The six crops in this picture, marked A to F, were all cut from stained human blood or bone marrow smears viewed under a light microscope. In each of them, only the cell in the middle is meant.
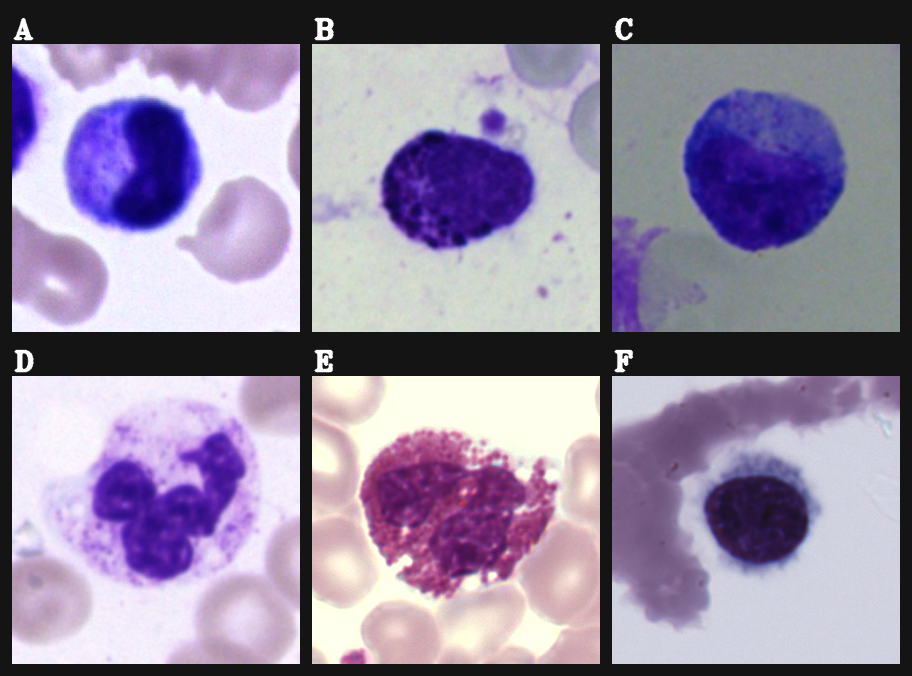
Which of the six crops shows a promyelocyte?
C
